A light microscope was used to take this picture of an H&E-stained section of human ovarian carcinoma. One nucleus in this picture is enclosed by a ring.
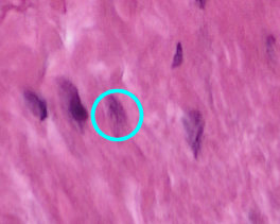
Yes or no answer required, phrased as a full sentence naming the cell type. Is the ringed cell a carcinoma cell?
No, kindly revise that, as the ringed cell is a fibroblast rather than a carcinoma cell.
